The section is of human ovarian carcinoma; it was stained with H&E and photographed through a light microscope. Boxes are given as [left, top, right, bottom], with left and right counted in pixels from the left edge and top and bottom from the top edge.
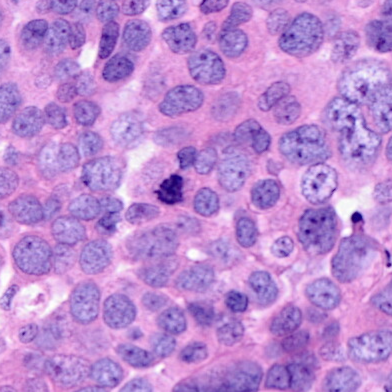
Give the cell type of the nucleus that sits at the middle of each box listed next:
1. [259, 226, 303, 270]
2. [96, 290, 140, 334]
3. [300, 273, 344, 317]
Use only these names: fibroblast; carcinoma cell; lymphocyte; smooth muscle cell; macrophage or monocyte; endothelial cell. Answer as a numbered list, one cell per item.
1. macrophage or monocyte
2. carcinoma cell
3. carcinoma cell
